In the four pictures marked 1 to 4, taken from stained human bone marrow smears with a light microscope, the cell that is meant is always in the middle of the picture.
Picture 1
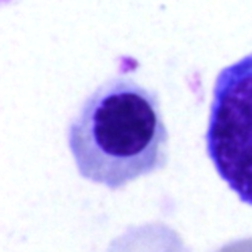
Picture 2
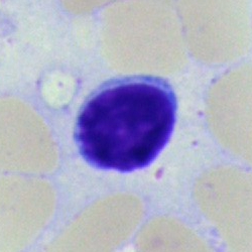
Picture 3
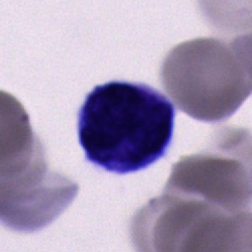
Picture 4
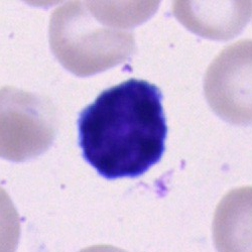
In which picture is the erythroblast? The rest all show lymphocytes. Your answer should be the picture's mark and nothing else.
1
